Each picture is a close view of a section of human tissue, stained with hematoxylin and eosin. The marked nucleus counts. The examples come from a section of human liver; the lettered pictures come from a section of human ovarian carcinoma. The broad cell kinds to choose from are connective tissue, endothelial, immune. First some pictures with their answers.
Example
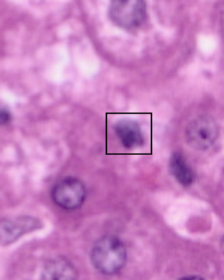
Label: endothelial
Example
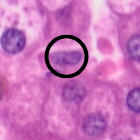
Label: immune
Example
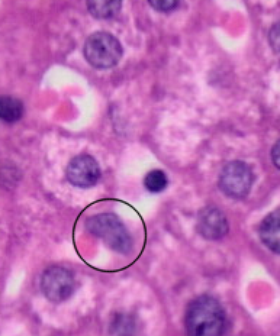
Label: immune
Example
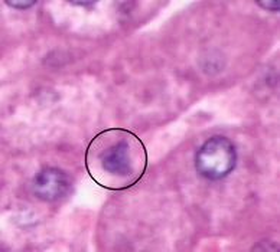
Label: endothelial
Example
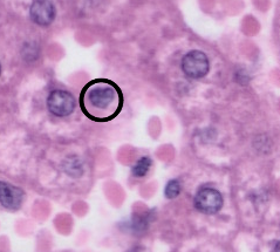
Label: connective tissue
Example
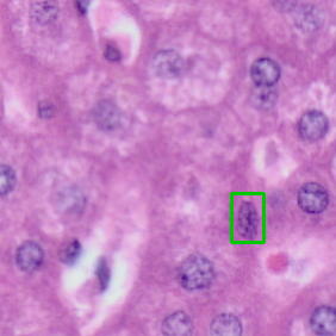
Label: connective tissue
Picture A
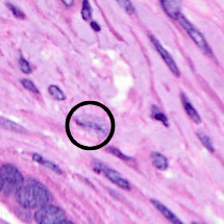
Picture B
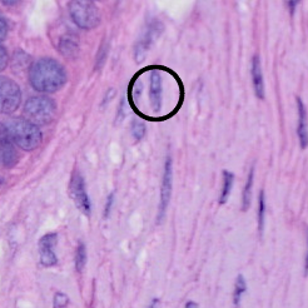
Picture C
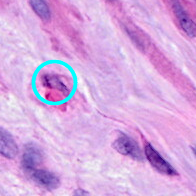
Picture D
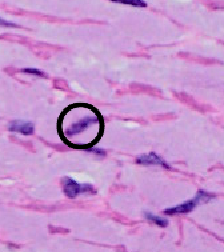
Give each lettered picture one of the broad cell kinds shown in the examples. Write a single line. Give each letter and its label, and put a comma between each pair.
A connective tissue, B connective tissue, C endothelial, D connective tissue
